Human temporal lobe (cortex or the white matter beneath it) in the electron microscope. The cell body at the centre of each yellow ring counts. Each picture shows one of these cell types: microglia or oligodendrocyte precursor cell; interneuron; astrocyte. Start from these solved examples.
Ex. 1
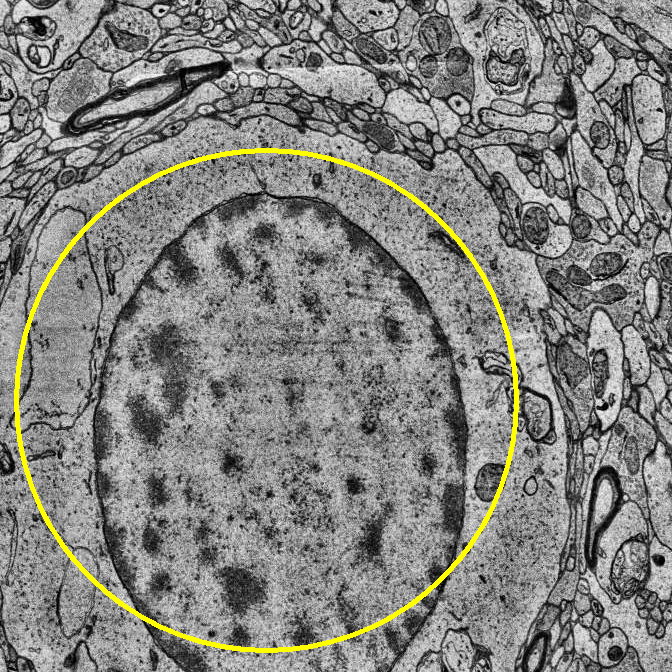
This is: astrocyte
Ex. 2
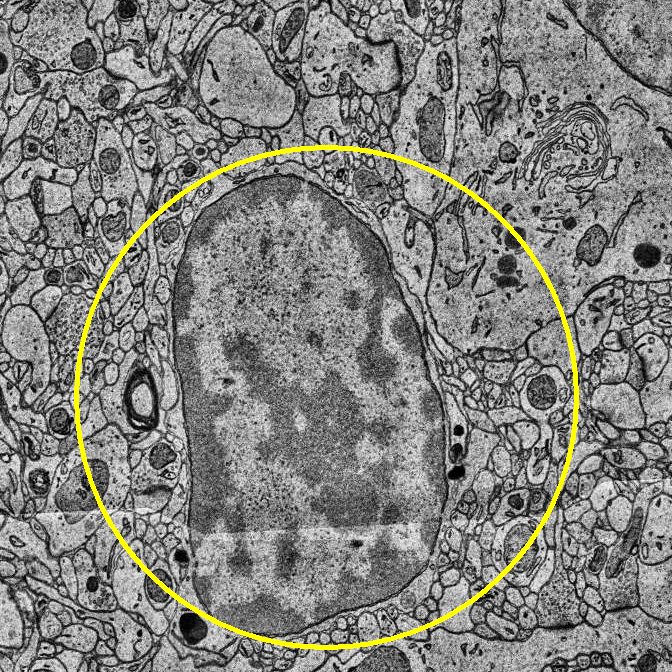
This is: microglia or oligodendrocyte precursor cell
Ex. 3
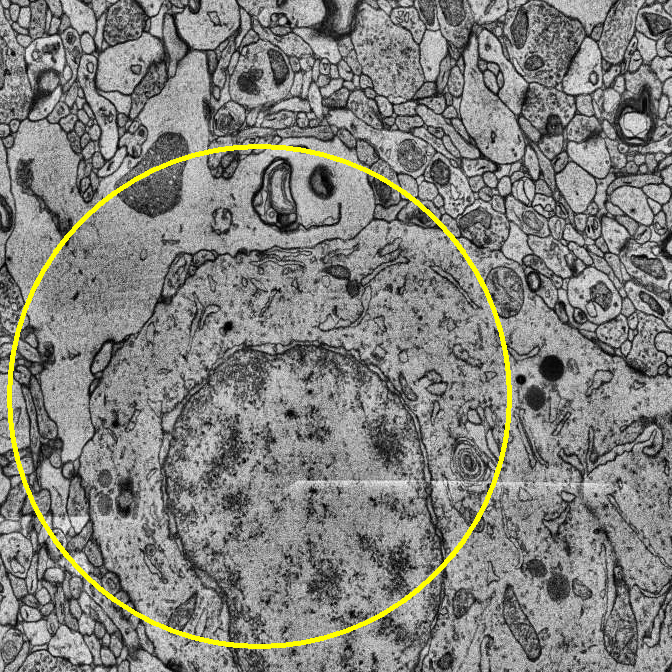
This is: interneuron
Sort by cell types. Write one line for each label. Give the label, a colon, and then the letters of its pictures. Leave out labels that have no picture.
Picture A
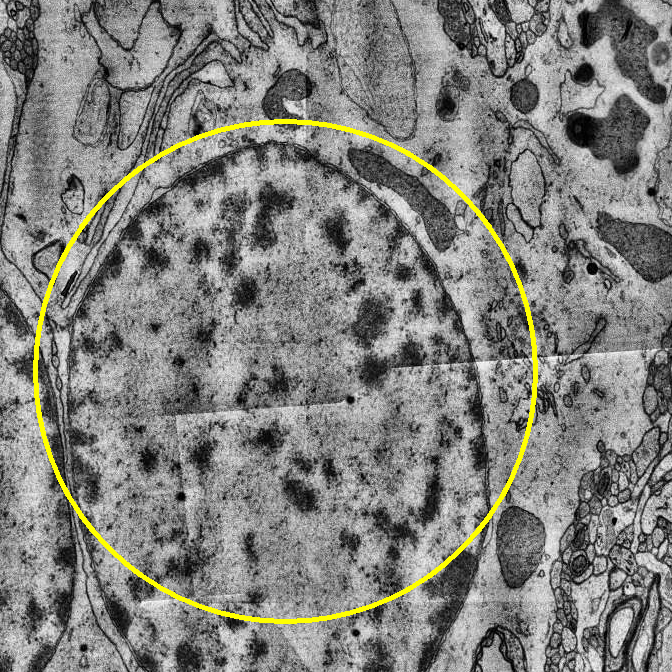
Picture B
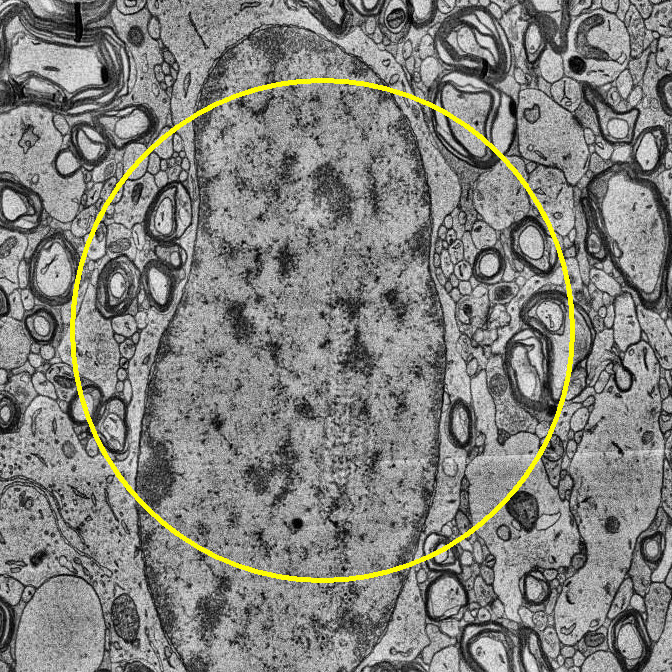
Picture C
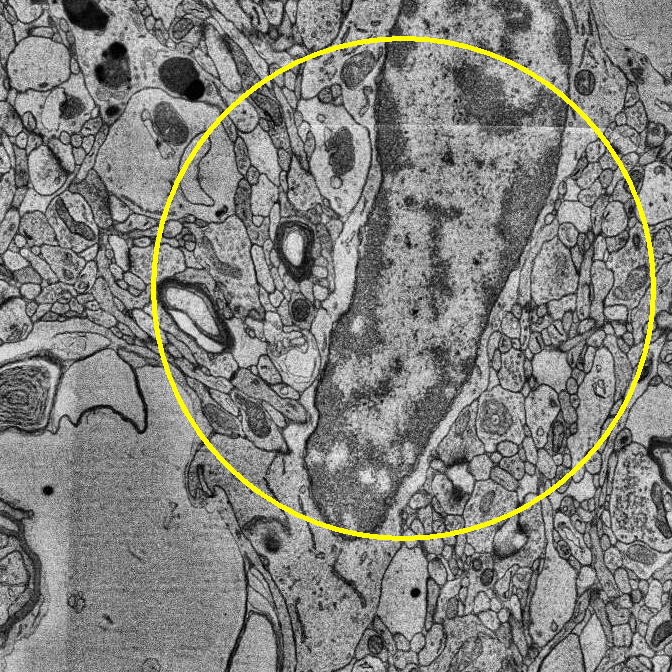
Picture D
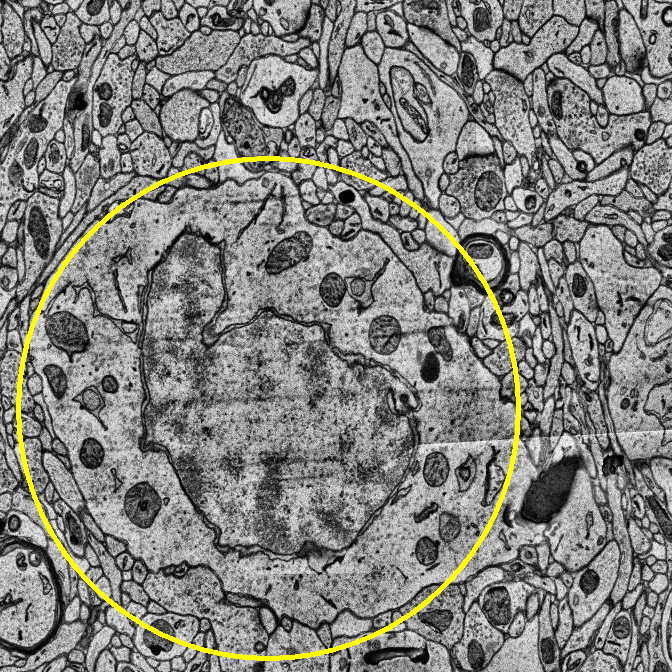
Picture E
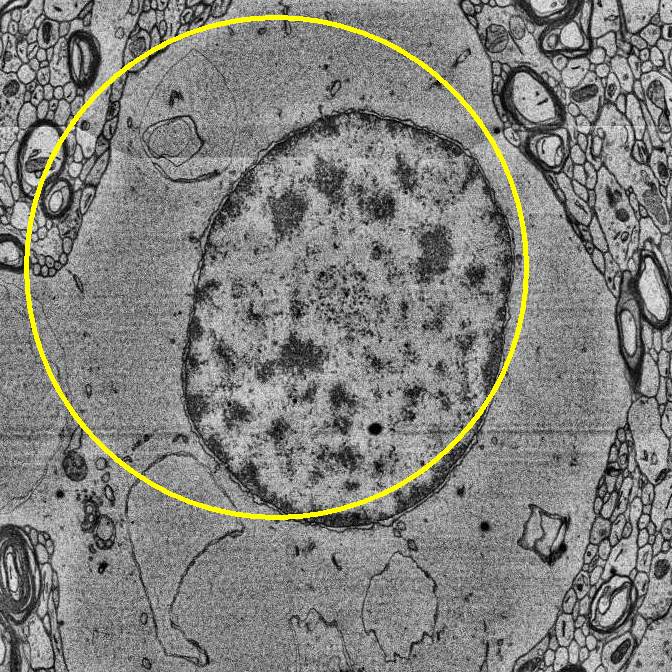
microglia or oligodendrocyte precursor cell: B, C
interneuron: D
astrocyte: A, E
